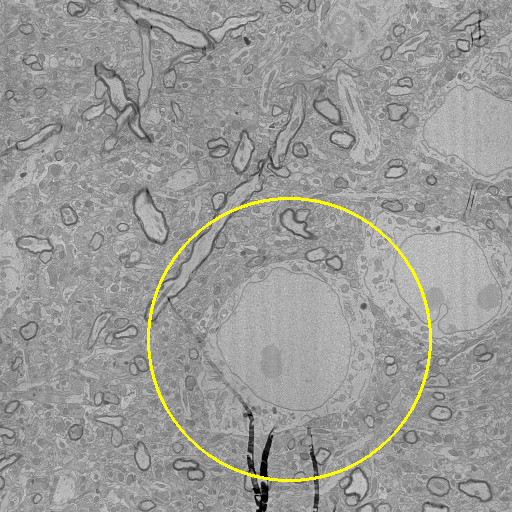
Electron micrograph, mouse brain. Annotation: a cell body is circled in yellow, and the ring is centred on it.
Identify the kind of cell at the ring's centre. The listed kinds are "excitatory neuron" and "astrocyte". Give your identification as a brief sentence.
The circled cell body is that of an excitatory neuron.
